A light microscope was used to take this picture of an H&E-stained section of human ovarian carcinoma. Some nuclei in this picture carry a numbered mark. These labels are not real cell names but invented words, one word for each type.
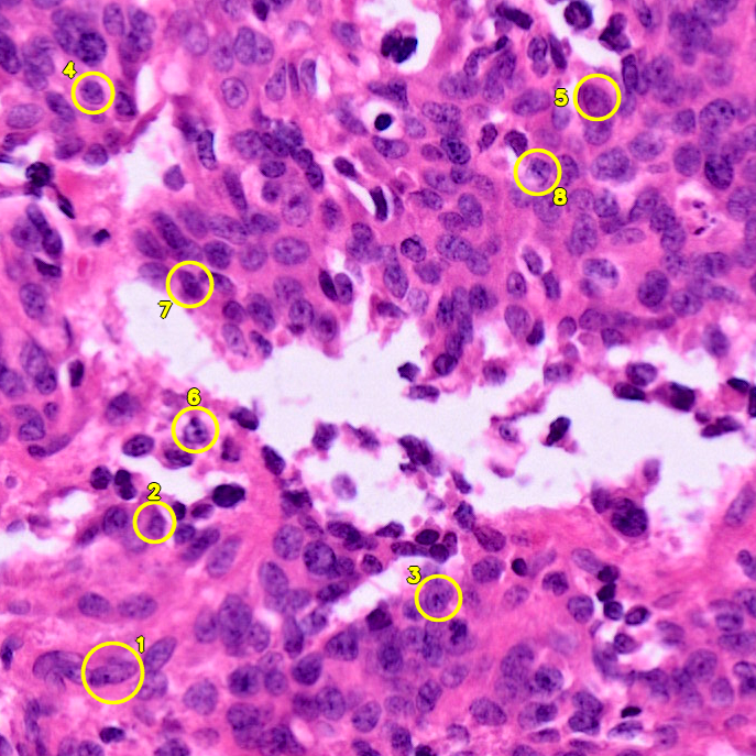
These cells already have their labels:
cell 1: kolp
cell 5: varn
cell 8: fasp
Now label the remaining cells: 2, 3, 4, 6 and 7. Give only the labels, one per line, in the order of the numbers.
varn
varn
fasp
fasp
fasp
